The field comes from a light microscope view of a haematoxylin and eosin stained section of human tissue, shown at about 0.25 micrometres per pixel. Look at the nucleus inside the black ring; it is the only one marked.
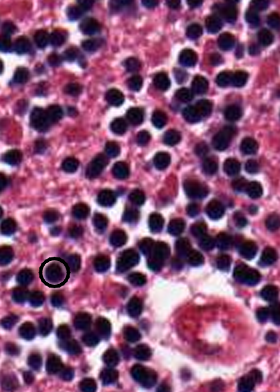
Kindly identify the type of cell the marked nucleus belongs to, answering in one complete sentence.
It is a cerebellar granule cell whose nucleus is marked.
